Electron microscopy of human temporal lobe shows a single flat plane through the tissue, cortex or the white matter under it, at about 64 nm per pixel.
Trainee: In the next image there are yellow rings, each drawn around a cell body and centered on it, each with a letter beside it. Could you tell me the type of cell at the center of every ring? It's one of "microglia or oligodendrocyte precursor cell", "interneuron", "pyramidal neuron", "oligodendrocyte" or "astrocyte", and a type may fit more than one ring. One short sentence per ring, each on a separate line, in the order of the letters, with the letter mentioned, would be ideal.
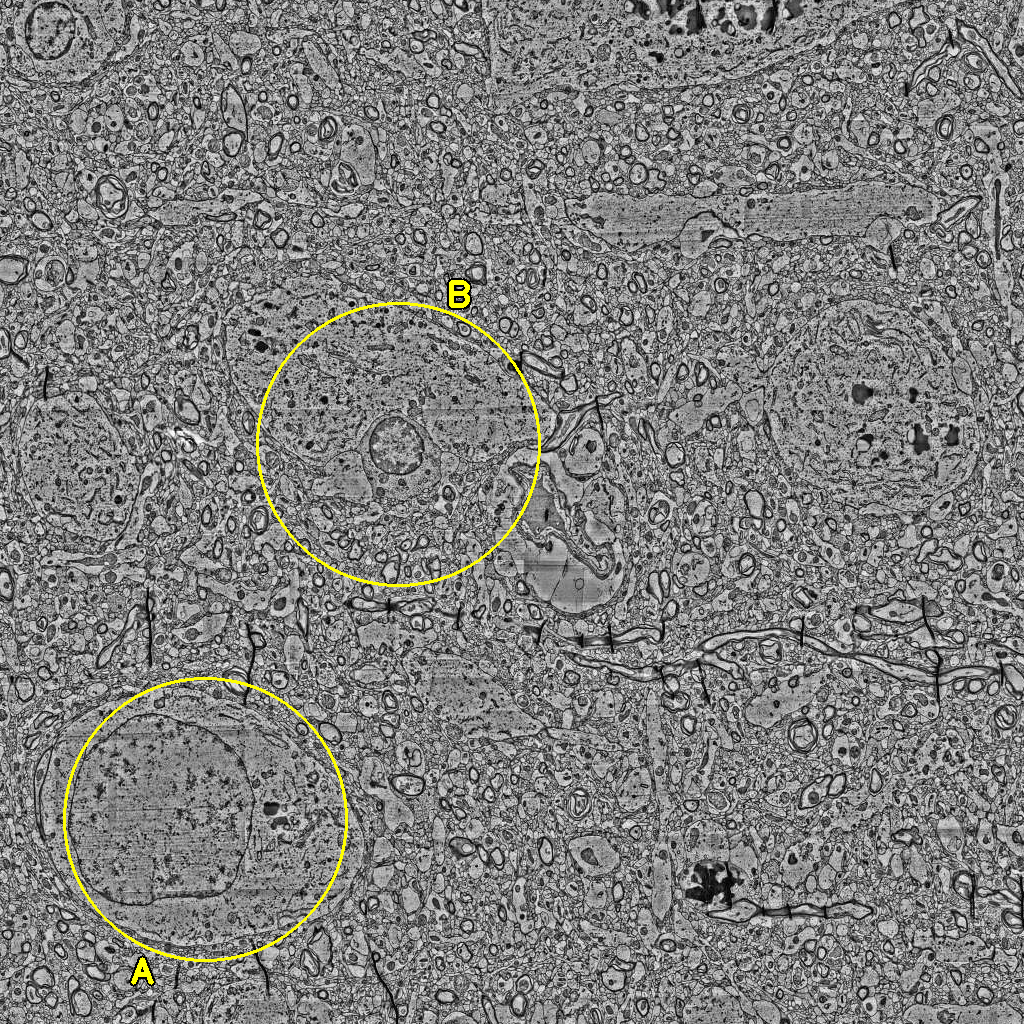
What ring A is centered on is a pyramidal neuron.
What ring B is centered on is an oligodendrocyte.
